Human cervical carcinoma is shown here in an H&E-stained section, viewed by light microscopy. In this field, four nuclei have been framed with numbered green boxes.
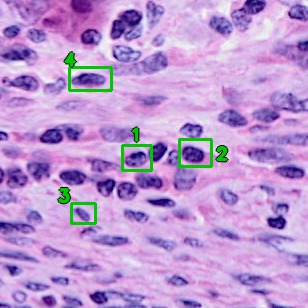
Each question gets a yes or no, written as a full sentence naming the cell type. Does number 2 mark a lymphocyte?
Yes, the nucleus numbered 2 belongs to a lymphocyte.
